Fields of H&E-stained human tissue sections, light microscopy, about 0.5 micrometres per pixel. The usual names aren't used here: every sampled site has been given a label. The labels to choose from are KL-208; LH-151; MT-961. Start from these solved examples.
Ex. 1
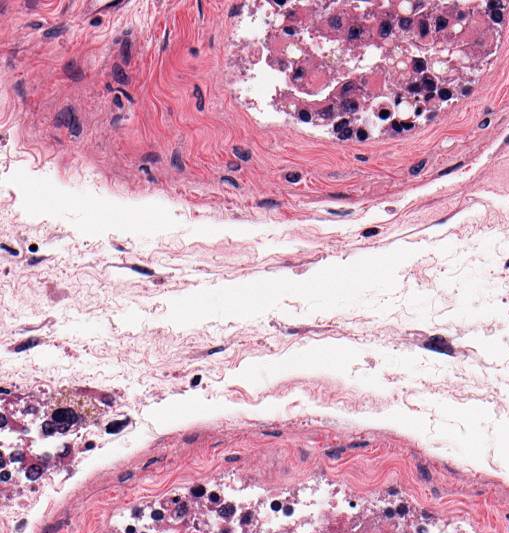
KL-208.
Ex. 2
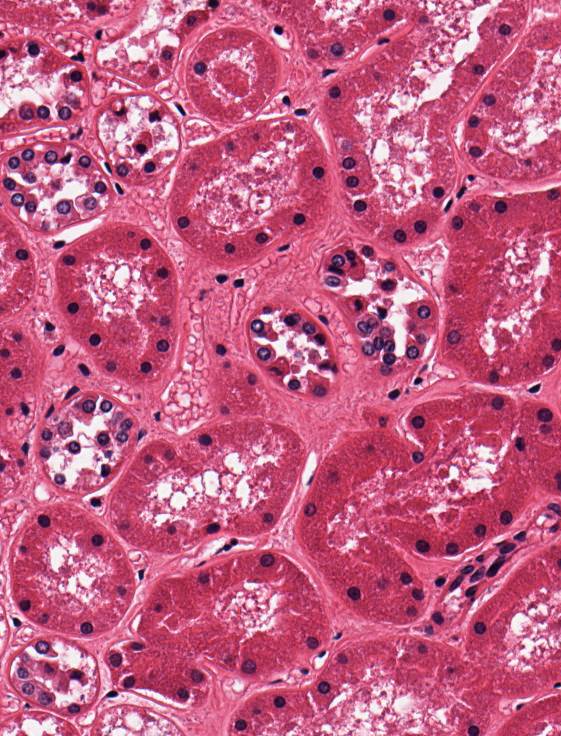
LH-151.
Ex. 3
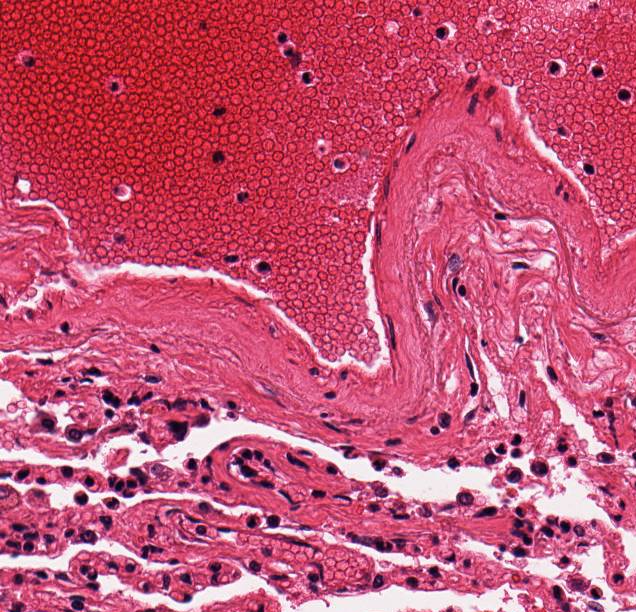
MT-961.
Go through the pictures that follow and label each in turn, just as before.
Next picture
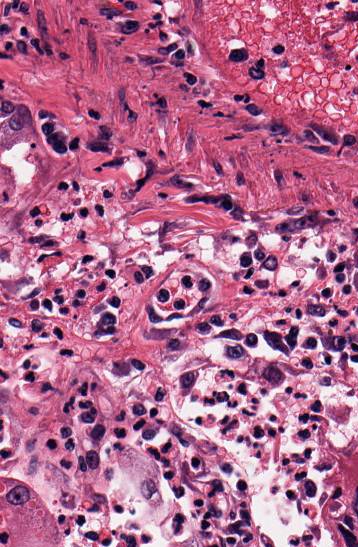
MT-961.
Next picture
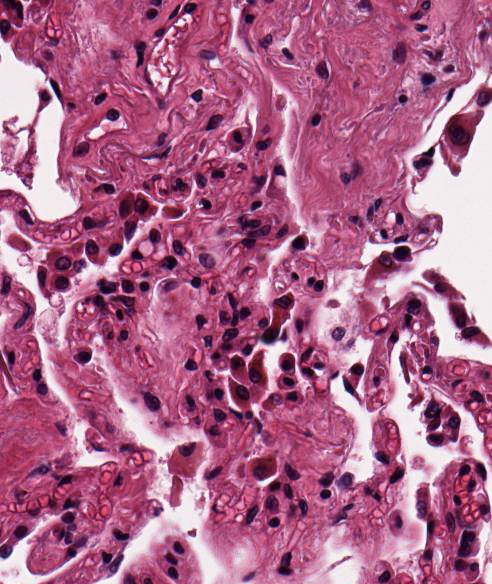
MT-961.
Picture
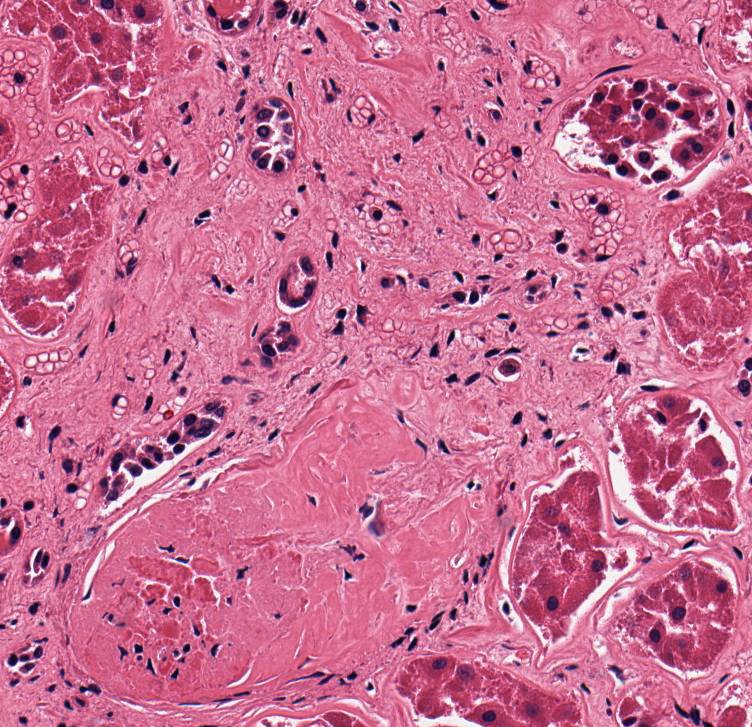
LH-151.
